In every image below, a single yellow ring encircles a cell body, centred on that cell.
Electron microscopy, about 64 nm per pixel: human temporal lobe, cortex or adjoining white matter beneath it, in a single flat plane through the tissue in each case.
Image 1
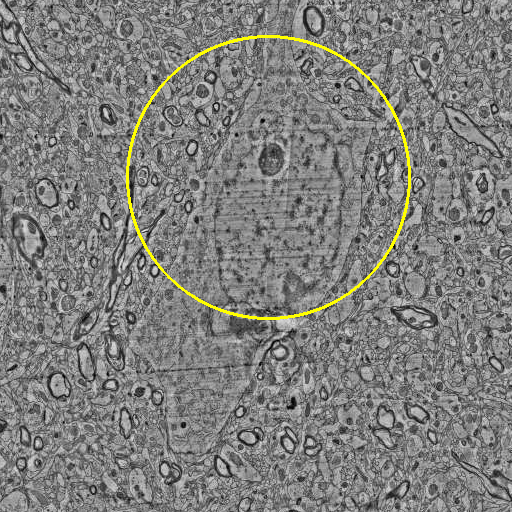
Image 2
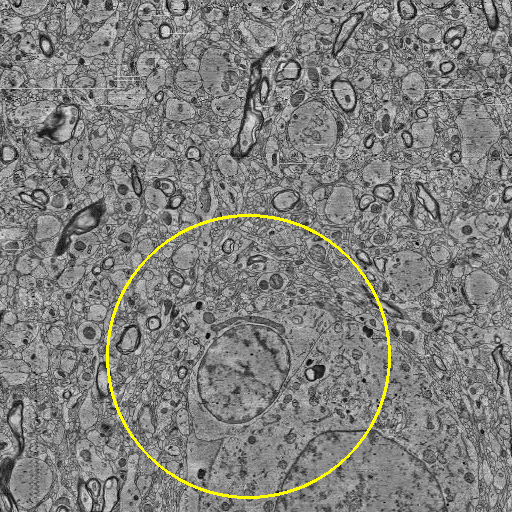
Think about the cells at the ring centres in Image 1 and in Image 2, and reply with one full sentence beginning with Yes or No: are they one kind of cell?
No, the cells centred in the rings of Image 1 and Image 2 are two kinds of cell.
